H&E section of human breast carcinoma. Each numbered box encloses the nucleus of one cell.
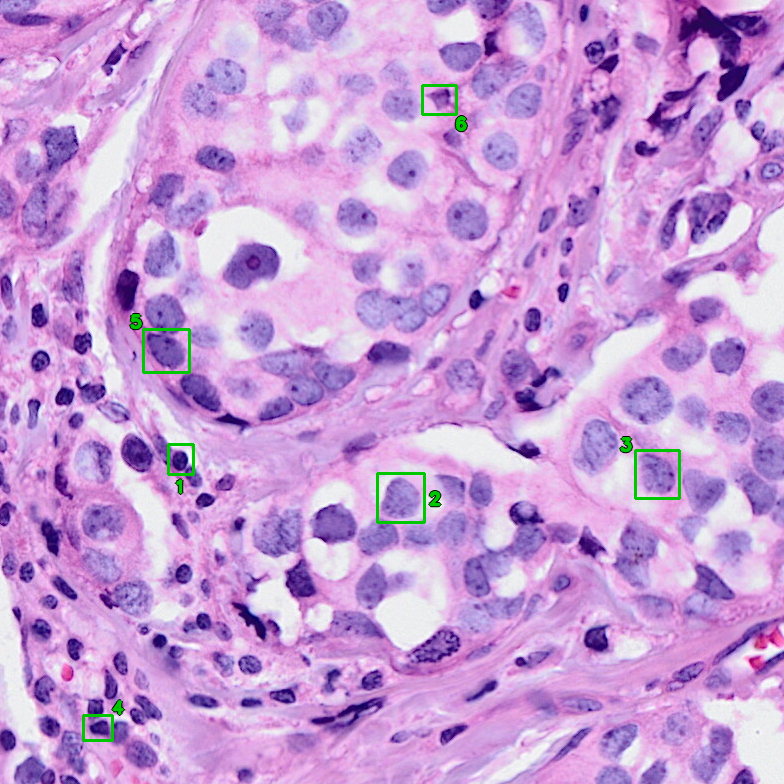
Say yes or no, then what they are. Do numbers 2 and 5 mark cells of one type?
Yes, for cells 2 and 5 alike, the identity is that of carcinoma cells.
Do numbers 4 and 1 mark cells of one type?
Yes, note that cells 4 and 1 are both lymphocytes.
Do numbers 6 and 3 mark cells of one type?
Yes, cells 6 and 3 are both classed as carcinoma cells.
